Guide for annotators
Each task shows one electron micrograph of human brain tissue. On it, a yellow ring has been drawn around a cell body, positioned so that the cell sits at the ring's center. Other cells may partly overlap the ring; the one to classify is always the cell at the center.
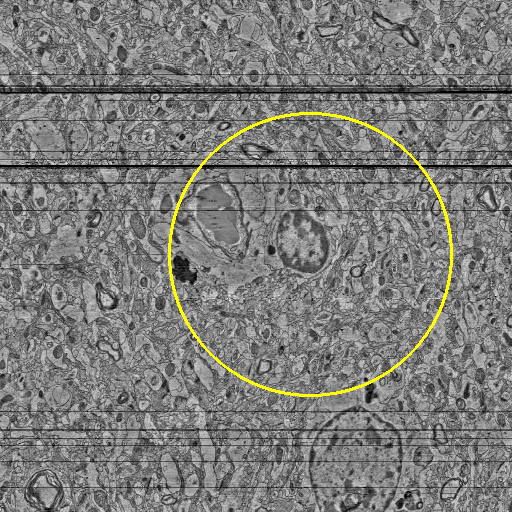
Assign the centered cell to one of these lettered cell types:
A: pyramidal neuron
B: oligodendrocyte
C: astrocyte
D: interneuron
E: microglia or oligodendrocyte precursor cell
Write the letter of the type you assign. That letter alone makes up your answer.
E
